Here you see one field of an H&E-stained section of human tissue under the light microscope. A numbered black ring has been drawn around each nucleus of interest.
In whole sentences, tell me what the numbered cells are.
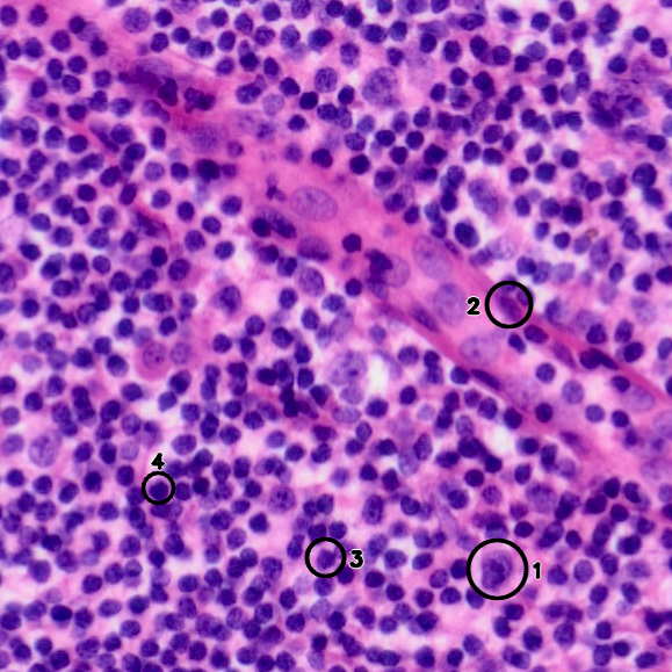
Cell 1 is a proliferating B cell, cell 2 is an endothelial cell, cell 3 is a small lymphocyte and cell 4 is a small lymphocyte.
